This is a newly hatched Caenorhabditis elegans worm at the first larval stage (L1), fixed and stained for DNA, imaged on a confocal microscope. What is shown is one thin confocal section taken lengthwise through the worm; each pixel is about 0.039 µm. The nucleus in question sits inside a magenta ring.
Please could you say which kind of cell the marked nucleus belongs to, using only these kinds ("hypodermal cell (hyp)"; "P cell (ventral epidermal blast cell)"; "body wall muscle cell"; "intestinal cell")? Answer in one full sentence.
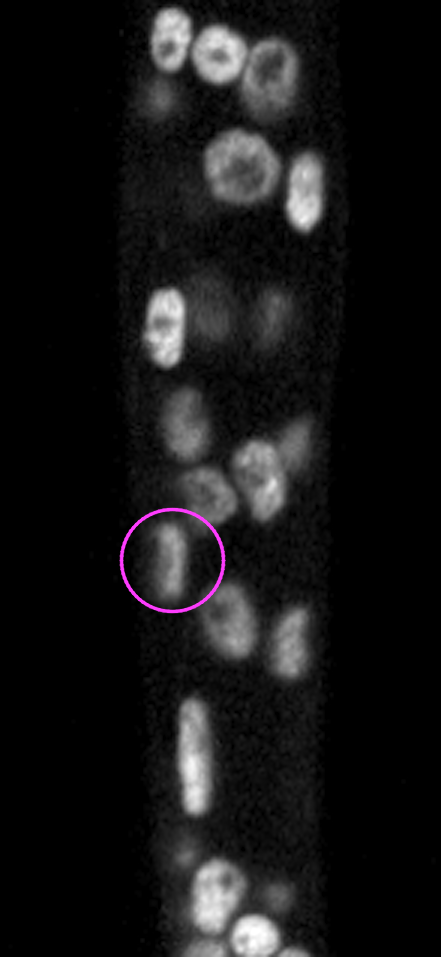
It belongs to a body wall muscle cell.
